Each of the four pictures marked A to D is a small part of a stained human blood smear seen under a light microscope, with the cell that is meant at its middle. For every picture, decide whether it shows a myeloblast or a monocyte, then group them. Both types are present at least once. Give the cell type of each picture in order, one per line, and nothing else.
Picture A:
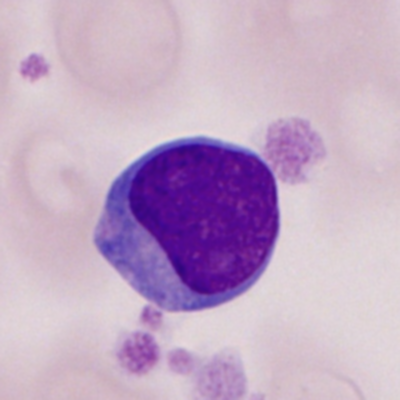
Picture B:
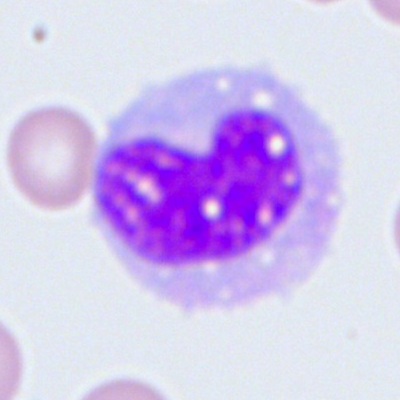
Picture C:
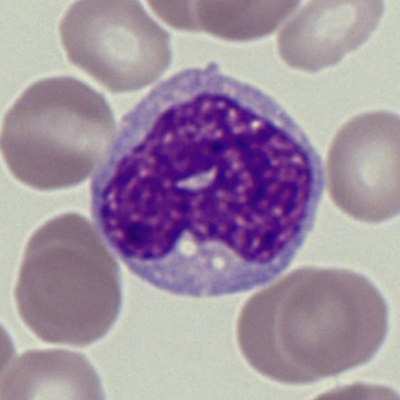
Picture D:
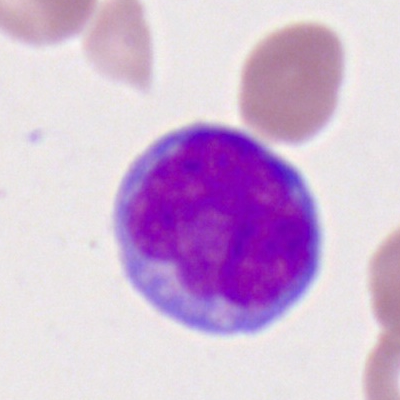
myeloblast
monocyte
monocyte
myeloblast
